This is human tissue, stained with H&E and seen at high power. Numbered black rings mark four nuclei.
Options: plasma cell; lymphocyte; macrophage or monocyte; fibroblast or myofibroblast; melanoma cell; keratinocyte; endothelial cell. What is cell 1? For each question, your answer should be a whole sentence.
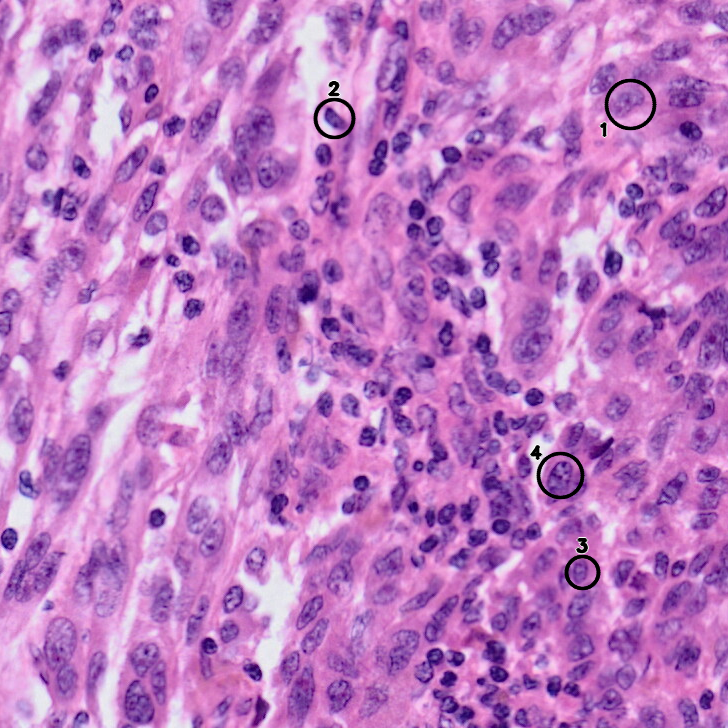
The label 1 in this section denotes a melanoma cell.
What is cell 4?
The one labeled 4 is a melanoma cell, to put it simply.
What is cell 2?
Recognised here as a lymphocyte is the cell numbered 2.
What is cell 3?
Identified by the number 3, the cell is a melanoma cell.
